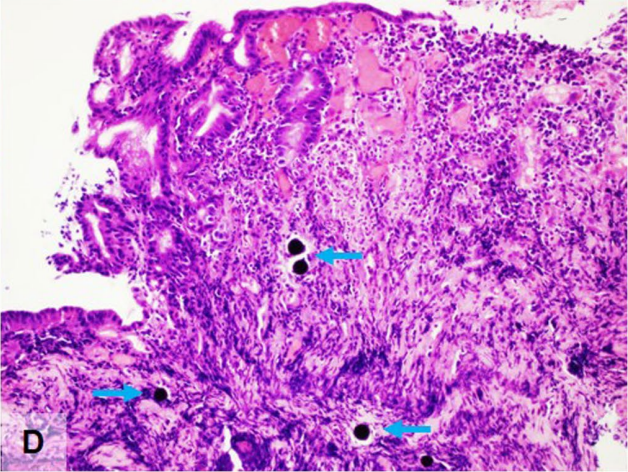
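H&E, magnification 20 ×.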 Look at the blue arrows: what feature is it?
Microspheres.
